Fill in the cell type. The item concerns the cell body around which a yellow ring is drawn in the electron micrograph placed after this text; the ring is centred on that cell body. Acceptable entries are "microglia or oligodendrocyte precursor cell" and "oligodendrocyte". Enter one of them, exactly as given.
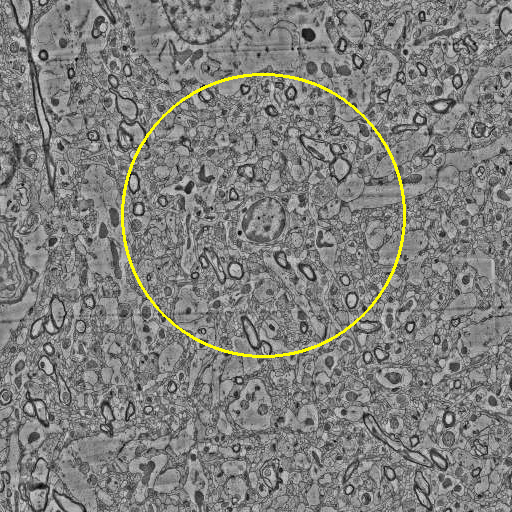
microglia or oligodendrocyte precursor cell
